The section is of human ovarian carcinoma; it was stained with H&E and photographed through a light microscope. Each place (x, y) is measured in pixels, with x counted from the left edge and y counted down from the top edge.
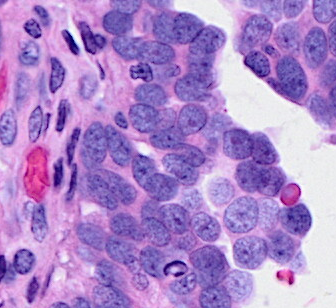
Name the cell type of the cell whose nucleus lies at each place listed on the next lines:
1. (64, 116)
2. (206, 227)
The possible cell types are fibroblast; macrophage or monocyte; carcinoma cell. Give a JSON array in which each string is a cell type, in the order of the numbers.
["fibroblast", "carcinoma cell"]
